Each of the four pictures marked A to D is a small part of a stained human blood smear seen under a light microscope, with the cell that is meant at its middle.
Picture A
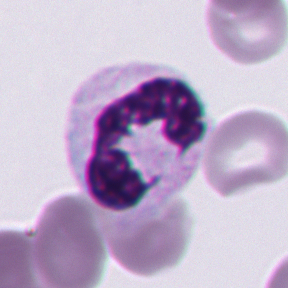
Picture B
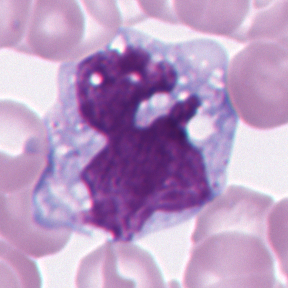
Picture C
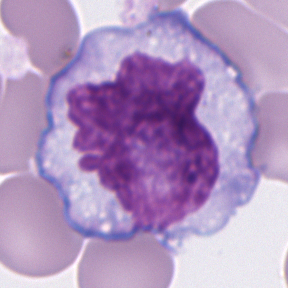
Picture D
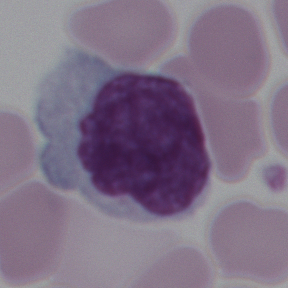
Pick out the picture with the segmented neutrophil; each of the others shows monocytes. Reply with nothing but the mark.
A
